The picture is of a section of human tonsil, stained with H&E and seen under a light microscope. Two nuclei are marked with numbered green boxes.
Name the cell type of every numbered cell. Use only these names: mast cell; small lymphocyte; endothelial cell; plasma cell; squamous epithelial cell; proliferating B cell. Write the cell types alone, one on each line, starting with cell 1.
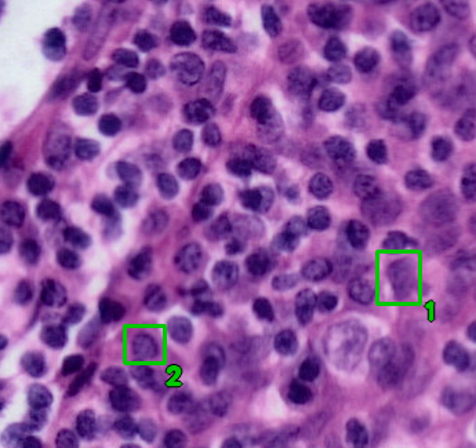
squamous epithelial cell
plasma cell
